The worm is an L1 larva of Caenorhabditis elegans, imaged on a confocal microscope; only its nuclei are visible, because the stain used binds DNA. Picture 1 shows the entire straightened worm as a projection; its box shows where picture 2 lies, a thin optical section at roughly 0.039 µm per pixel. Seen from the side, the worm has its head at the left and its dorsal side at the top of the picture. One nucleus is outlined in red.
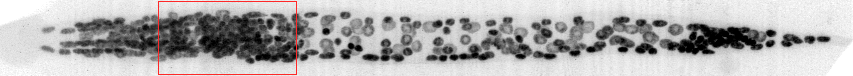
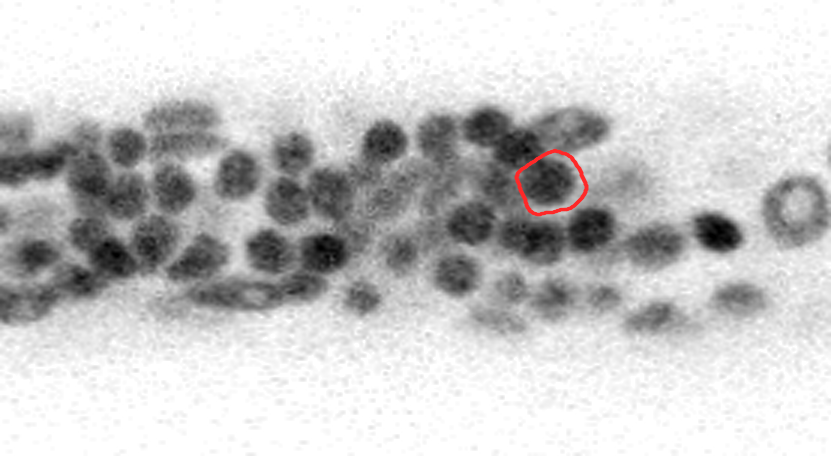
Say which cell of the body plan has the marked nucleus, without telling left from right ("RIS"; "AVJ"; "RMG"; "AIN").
AIN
